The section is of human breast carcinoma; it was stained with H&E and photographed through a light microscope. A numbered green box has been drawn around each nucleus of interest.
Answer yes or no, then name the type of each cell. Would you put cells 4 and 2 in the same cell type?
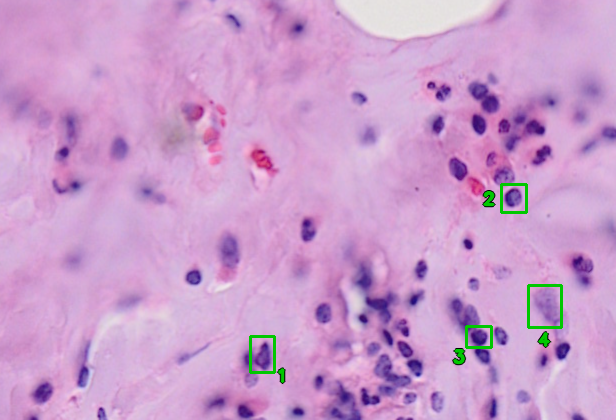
No, cell 4 is a fibroblast, whereas a lymphocyte is what cell 2 is.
